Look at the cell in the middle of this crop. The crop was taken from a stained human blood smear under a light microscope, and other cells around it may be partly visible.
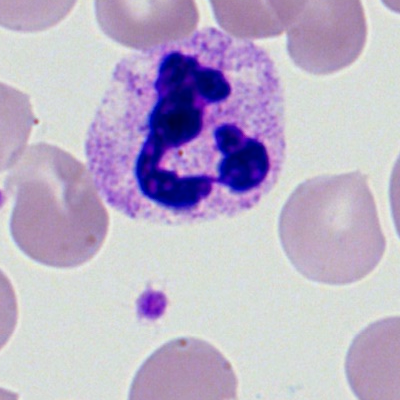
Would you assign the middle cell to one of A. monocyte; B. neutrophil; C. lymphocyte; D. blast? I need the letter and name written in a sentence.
Option B gets it right: the cell in the middle is a neutrophil.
